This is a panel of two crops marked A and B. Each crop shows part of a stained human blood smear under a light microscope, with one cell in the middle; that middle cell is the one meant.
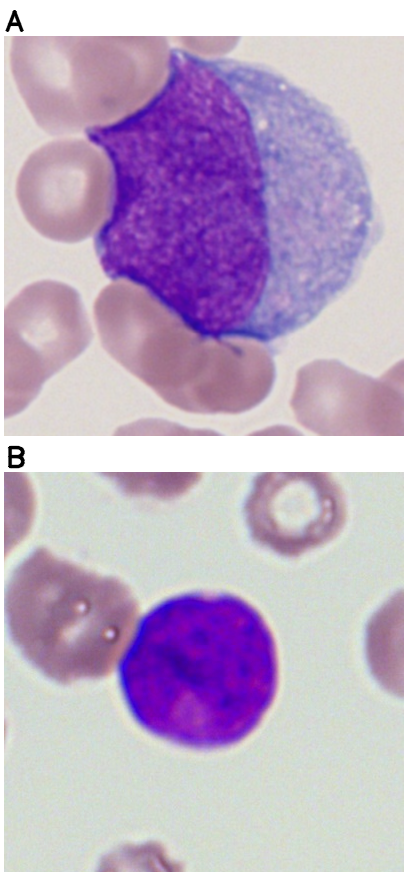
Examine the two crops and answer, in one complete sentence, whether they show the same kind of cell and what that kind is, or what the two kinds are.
Yes, the first and the second crop both show blasts.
